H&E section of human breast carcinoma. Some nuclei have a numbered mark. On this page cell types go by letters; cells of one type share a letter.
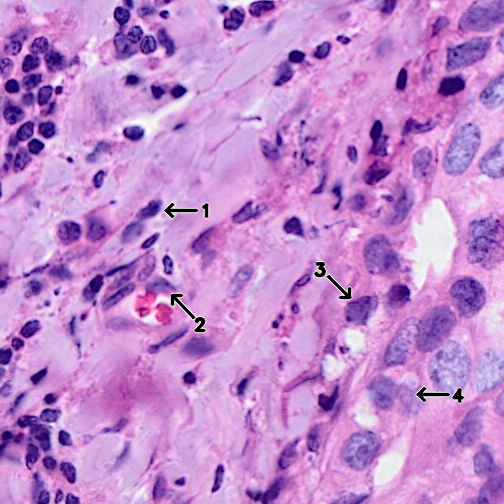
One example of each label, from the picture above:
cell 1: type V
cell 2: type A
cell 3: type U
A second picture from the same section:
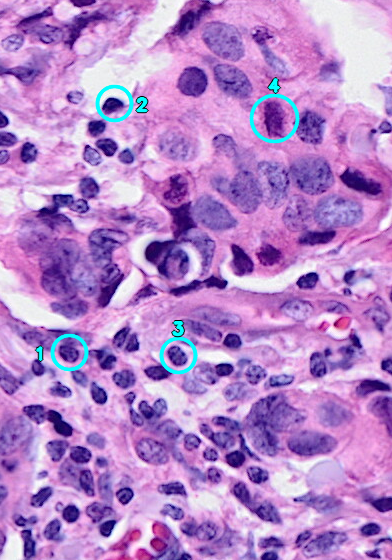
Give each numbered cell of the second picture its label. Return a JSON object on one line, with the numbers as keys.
{"1": "type V", "2": "type V", "3": "type V", "4": "type U"}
